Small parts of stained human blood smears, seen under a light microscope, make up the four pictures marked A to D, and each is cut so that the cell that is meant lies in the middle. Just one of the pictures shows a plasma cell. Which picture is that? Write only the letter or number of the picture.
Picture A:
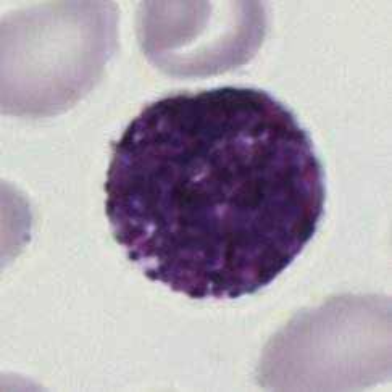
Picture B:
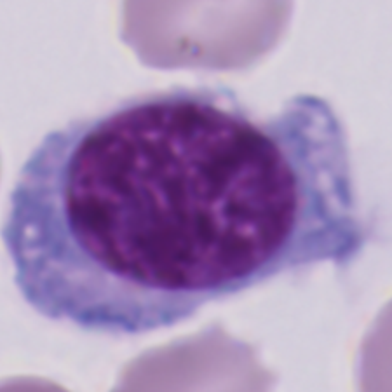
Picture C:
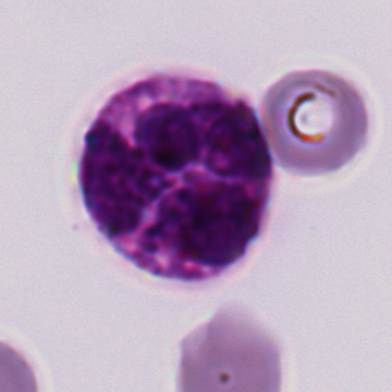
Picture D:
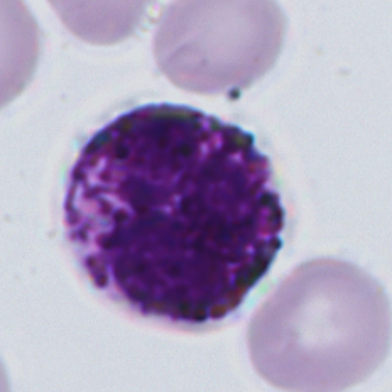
B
